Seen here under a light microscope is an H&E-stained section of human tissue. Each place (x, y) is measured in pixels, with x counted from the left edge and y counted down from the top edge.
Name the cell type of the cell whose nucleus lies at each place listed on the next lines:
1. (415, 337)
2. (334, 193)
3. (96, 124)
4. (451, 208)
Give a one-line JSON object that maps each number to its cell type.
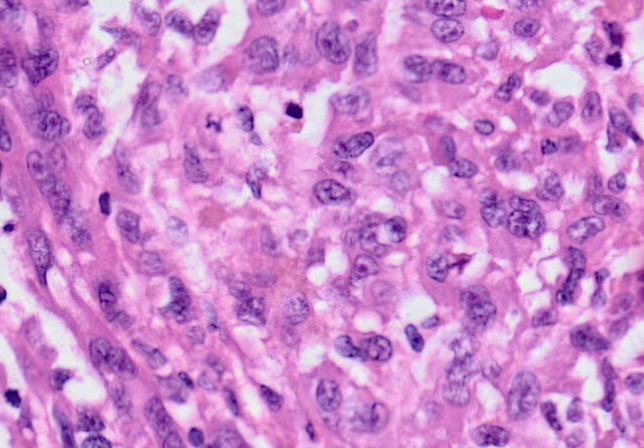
{"1": "lymphocyte", "2": "melanoma cell", "3": "melanoma cell", "4": "melanoma cell"}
